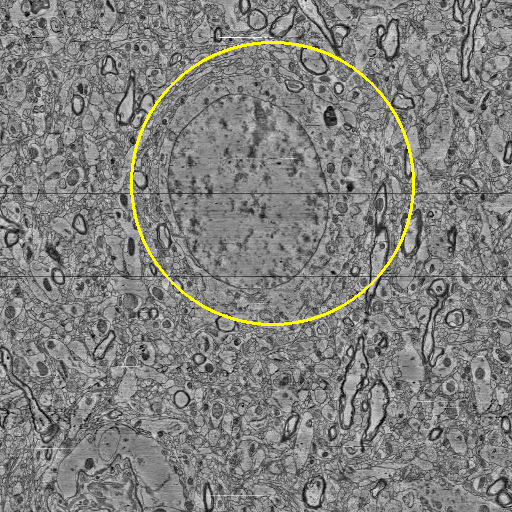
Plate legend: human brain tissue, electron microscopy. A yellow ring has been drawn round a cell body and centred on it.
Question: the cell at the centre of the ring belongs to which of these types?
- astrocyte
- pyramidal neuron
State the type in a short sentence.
The cell in the middle of the ring is a pyramidal neuron.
